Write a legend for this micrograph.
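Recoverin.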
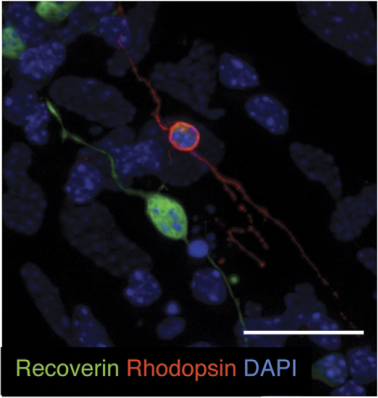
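One cell is marked by a red rim around its small round nucleus and sends out a thin, beaded process. The other is filled with green through an oval cell body and has fine processes reaching up and down from it.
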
